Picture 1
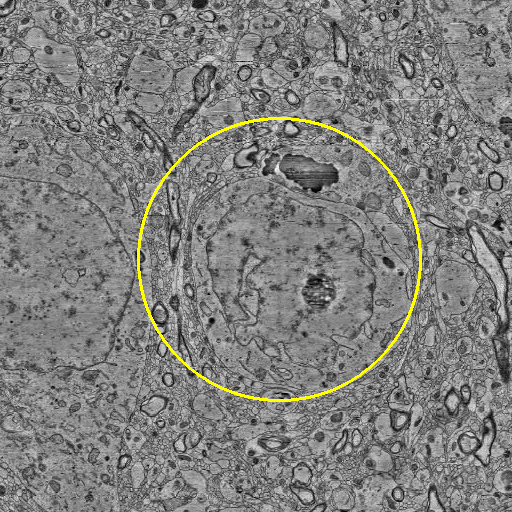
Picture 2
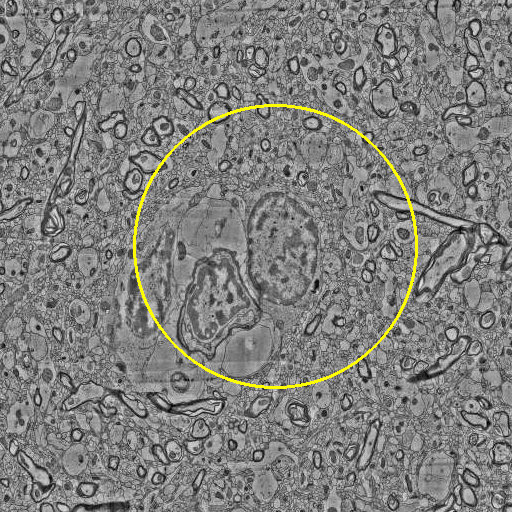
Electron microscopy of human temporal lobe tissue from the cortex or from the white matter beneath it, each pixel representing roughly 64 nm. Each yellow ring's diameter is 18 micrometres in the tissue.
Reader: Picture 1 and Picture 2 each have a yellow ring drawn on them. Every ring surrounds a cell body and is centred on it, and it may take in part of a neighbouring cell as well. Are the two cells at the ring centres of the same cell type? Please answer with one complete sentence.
No, the cells are of two cell types.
